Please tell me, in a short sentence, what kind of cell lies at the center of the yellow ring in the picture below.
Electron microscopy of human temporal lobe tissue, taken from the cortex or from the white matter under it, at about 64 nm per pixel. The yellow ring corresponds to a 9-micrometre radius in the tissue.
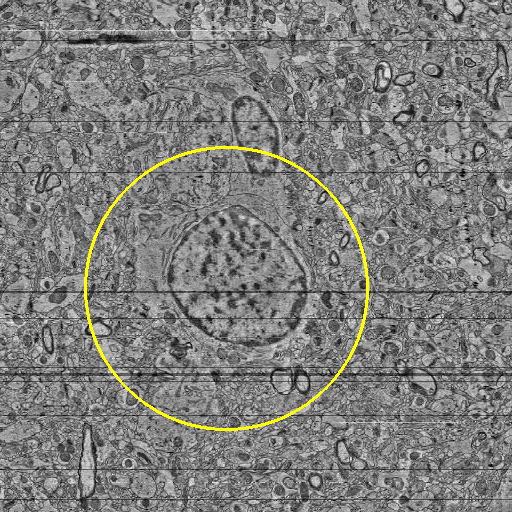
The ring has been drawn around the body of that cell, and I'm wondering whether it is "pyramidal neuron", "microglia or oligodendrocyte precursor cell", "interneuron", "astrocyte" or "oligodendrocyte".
The cell at the center of the ring is a microglial cell or oligodendrocyte precursor cell.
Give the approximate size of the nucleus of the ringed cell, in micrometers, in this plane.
In this plane, the nucleus of the cell at the centre of the ring is about 9 micrometres across.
